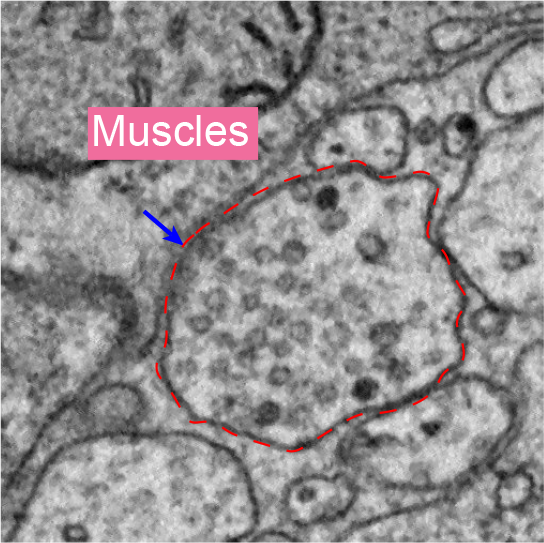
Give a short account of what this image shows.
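This is a cross-section through a nerve terminal, an irregularly rounded membrane-bound profile filled with many small round synaptic vesicles. A few larger vesicles with dark cores sit among them. At the upper left, next to the region labelled as muscle, the membrane shows a dark thickening marking the dense projection.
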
